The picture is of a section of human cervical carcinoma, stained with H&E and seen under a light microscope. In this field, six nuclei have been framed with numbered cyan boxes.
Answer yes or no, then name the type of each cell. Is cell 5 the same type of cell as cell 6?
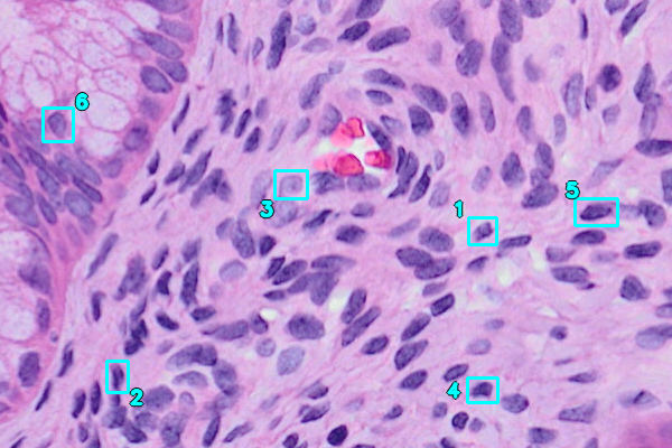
No, cell 5 is a fibroblast; cell 6, by contrast, is a secretory epithelial cell.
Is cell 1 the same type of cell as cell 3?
No, cell 1 is a fibroblast, whereas cell 3, for its part, is an endothelial cell.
